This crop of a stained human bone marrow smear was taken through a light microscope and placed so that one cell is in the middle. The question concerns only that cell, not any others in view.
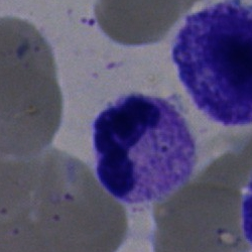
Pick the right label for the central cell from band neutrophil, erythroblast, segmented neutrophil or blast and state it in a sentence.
The cell positioned in the middle of the field is a segmented neutrophil.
